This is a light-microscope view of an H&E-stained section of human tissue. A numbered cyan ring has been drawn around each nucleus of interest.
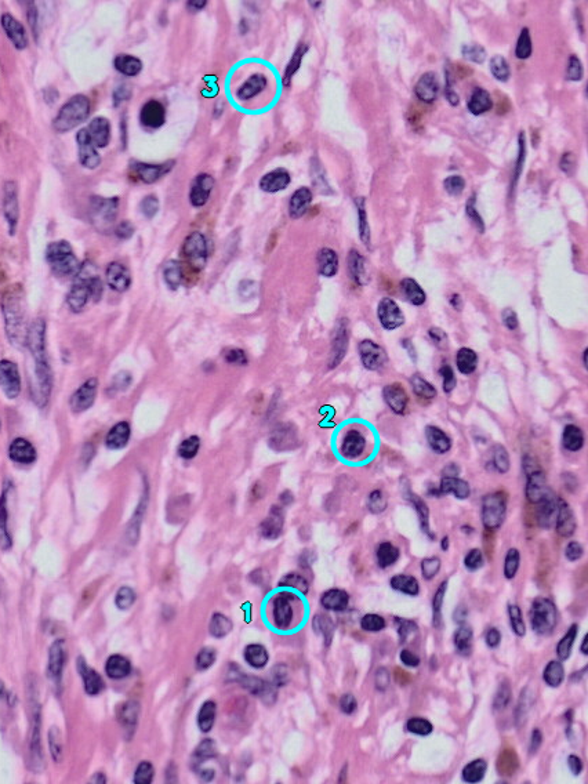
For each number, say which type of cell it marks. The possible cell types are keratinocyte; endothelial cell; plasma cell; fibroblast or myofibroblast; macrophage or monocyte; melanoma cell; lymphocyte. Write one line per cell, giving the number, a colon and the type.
1: plasma cell
2: plasma cell
3: lymphocyte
